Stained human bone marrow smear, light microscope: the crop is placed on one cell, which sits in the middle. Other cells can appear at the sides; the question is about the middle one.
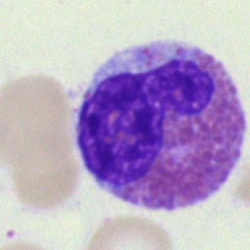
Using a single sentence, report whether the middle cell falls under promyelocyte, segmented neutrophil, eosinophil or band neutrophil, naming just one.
In the middle of this smear crop, the cell is an eosinophil.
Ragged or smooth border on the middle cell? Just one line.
From every side, the cell boundary is smooth and free of projections.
